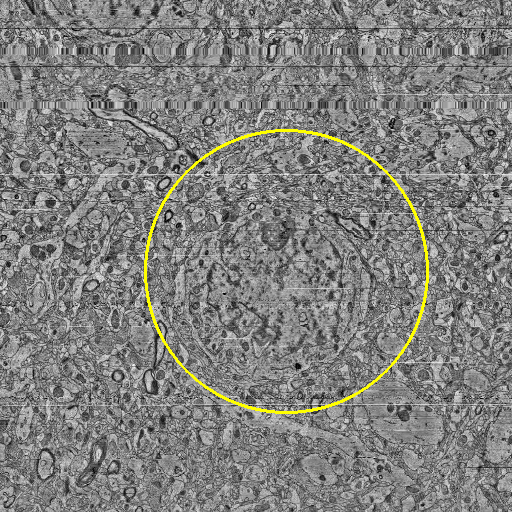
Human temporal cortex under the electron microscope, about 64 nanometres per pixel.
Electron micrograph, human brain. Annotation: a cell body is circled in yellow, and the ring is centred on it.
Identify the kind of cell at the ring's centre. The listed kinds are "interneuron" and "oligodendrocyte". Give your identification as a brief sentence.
The circled cell body is that of an interneuron.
